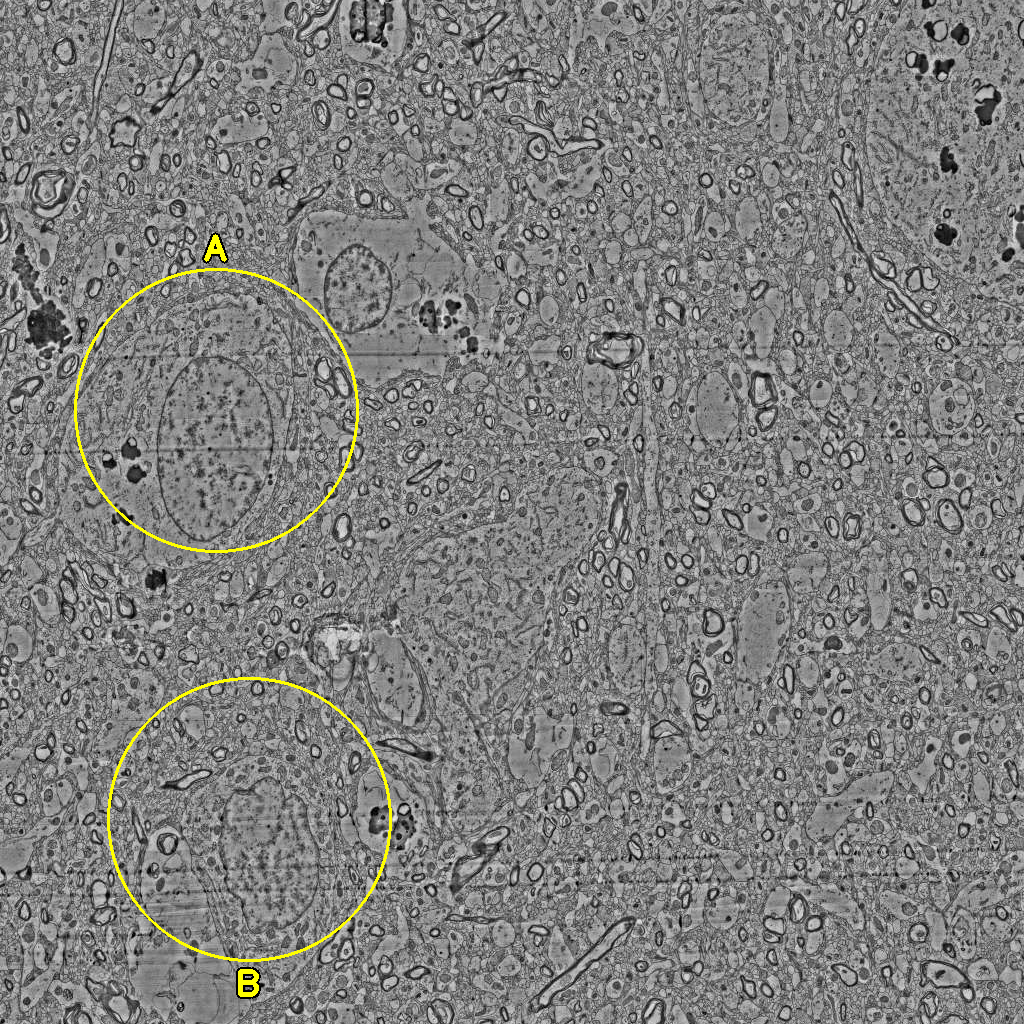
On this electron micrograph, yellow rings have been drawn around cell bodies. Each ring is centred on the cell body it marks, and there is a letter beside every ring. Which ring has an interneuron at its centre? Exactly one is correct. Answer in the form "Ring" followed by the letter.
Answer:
Ring B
